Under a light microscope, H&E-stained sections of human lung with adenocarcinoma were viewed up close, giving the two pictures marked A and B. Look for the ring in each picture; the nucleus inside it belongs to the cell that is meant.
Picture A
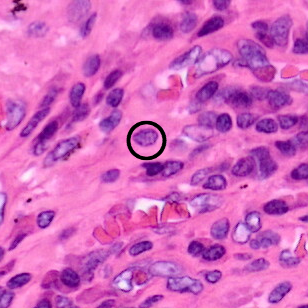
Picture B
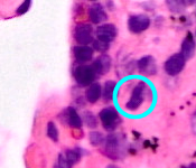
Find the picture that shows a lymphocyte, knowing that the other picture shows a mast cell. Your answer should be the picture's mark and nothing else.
B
